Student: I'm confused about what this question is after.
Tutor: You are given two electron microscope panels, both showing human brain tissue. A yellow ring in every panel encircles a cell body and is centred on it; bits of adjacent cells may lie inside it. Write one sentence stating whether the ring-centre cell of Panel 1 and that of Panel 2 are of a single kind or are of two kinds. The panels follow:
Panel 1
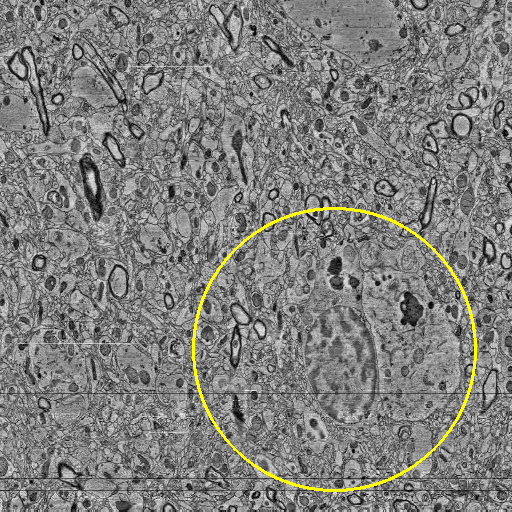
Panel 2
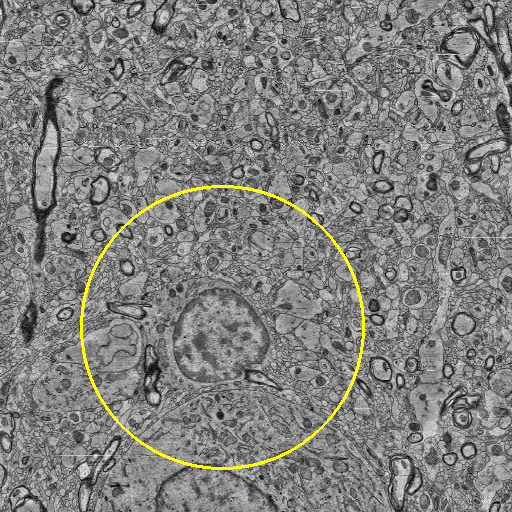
Here, the Panel 1 ring-centre cell and the Panel 2 ring-centre cell are of a single kind.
